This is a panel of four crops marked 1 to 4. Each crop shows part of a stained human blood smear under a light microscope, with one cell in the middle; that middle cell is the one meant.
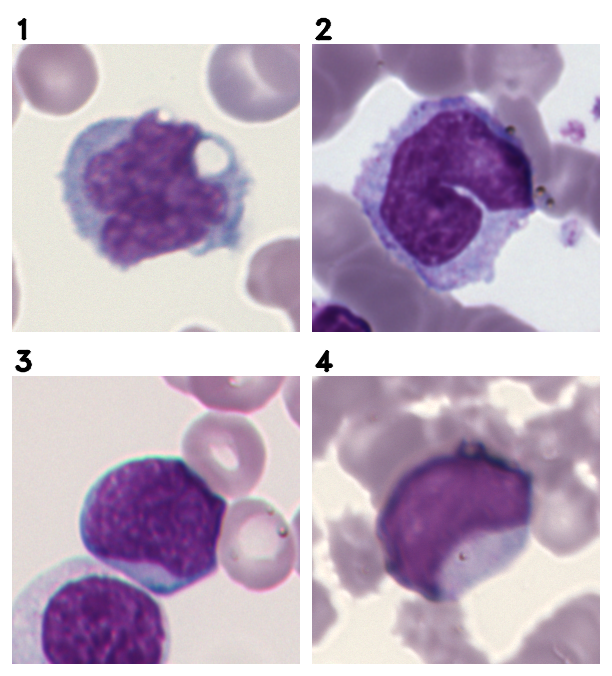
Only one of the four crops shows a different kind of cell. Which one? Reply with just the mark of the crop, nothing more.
2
